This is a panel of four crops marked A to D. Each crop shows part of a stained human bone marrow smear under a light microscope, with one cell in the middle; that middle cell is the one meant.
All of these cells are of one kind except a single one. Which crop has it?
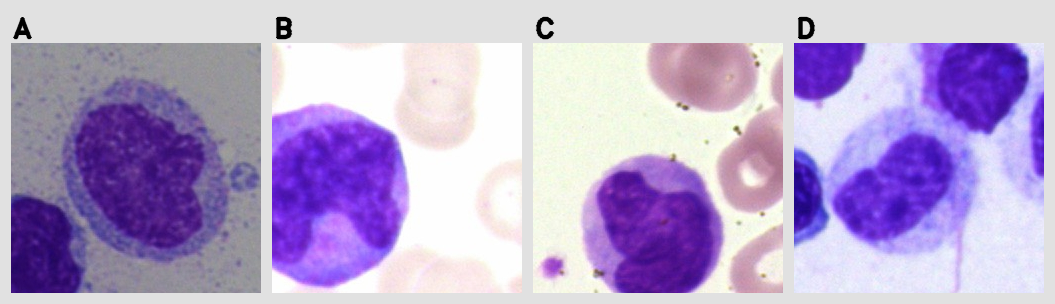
D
